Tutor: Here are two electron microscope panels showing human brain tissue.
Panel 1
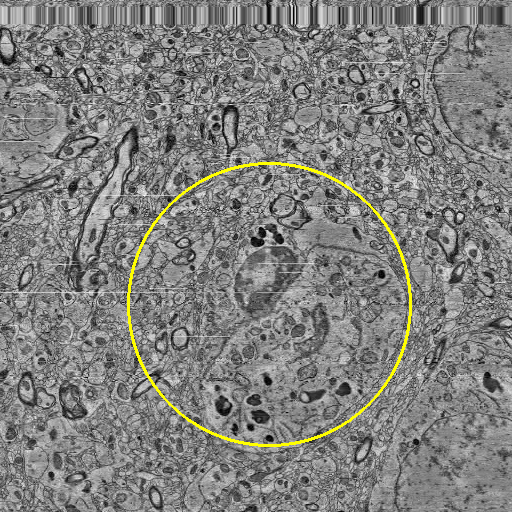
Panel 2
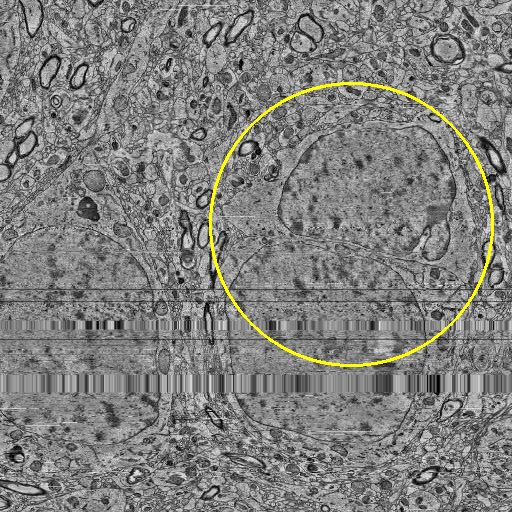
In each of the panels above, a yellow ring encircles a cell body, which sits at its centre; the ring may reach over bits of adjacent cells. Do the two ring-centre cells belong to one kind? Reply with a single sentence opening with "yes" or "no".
Yes, the two cells sitting at the ring centres in the panels belong to one kind.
